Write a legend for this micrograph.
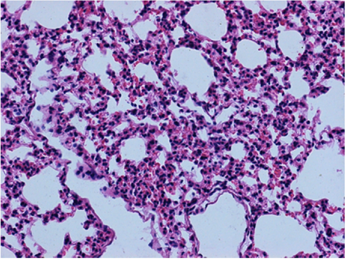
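Many dark purple nuclei are packed densely in the walls, forming solid-looking patches, especially in the centre of the field. Pink to red material consistent with red blood cells lies within the thickened interstitium. Many alveolar spaces in the crowded areas are narrowed or nearly obliterated, while several larger empty air spaces remain at the edges. The open, lace-like pattern of normal lung is largely lost in the densest regions.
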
